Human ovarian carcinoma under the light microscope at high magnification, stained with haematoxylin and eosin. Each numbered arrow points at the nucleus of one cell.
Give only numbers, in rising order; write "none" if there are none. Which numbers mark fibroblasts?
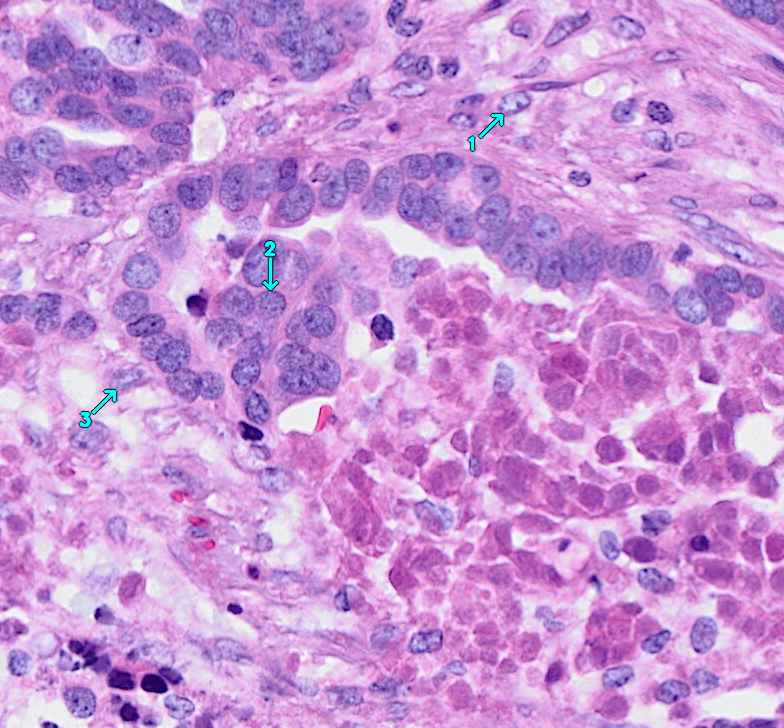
1, 3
